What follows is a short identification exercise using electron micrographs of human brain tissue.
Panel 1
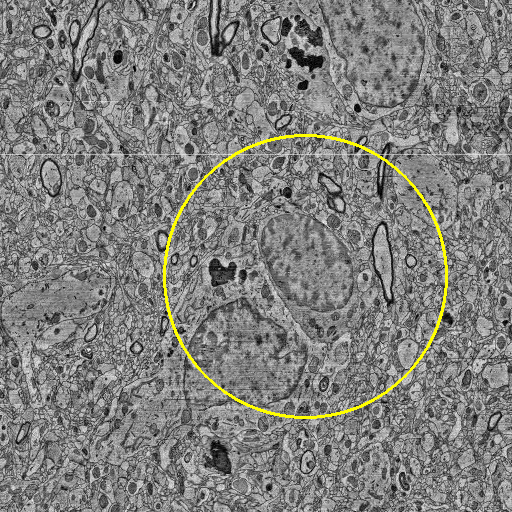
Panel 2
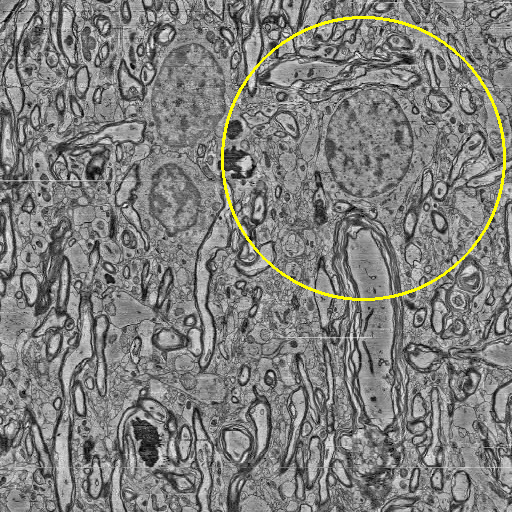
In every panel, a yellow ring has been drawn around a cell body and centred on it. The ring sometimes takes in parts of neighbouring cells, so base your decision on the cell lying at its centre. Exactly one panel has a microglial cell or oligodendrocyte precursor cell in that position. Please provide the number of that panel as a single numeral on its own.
2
